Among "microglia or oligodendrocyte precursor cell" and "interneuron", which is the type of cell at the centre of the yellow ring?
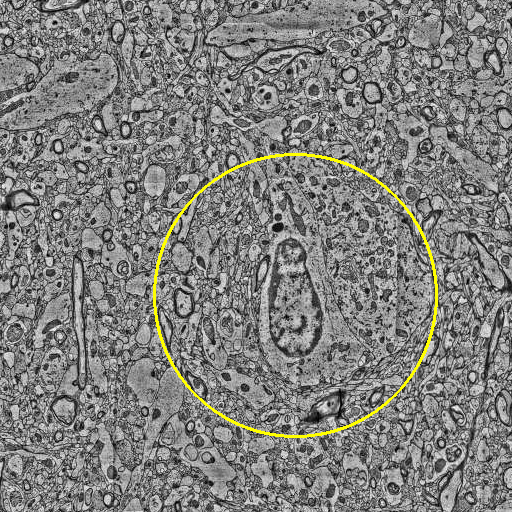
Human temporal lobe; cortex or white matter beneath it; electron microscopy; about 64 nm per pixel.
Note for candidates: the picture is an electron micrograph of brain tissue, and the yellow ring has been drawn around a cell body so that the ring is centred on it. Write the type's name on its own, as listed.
microglia or oligodendrocyte precursor cell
